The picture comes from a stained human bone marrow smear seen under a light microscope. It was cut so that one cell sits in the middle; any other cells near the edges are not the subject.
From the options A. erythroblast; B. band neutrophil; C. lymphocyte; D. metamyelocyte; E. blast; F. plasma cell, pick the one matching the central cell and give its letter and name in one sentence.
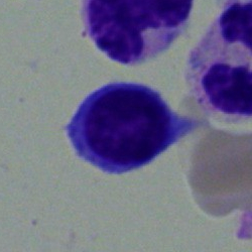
The central cell, a lymphocyte, is correctly identified by option C.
